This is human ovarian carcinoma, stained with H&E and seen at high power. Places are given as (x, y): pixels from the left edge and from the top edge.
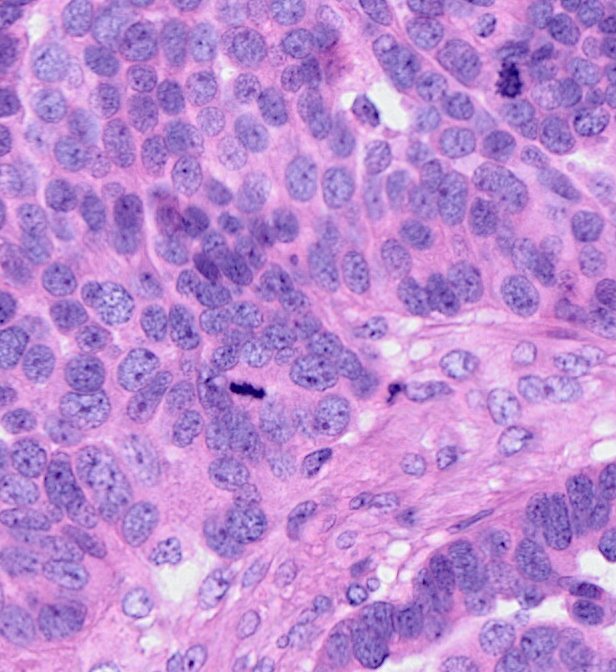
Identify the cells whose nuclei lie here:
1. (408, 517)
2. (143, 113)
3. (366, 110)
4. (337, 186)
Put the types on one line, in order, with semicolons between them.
fibroblast; carcinoma cell; macrophage or monocyte; carcinoma cell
